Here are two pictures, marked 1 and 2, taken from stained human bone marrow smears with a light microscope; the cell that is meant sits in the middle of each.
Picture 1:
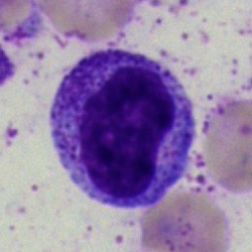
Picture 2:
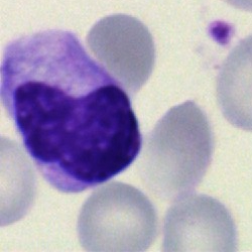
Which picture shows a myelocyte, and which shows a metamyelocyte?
1: myelocyte
2: metamyelocyte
